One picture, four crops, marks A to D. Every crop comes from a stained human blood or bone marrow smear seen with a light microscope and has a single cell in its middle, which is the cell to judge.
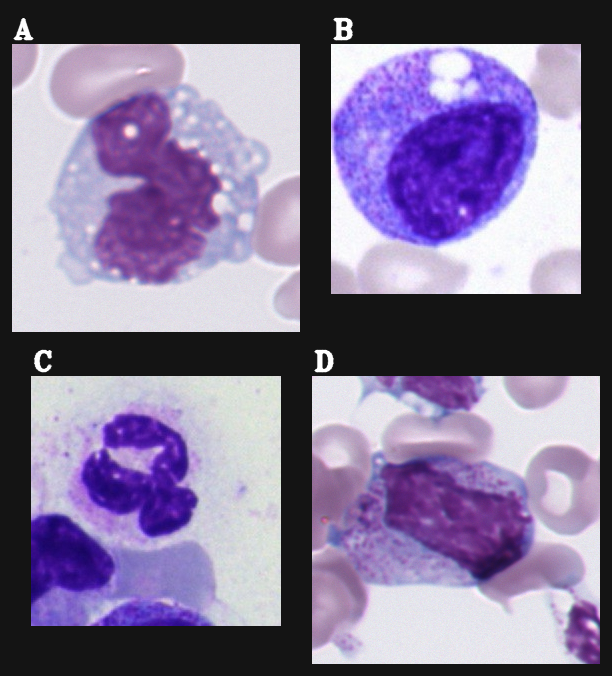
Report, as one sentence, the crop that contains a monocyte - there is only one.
It is in crop A that a monocyte is shown.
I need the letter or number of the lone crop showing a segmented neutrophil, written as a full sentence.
Selected crop: C, which is the one that shows a segmented neutrophil.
